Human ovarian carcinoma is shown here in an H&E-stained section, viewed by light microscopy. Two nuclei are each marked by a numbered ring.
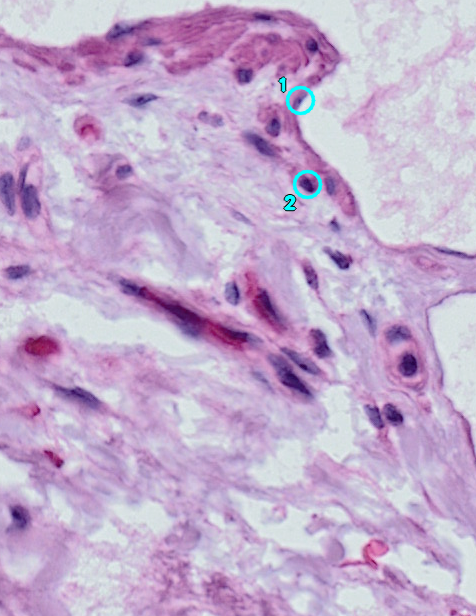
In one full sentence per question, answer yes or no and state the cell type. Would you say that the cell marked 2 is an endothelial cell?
No, calling cell 2 an endothelial cell is incorrect; it is a smooth muscle cell.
